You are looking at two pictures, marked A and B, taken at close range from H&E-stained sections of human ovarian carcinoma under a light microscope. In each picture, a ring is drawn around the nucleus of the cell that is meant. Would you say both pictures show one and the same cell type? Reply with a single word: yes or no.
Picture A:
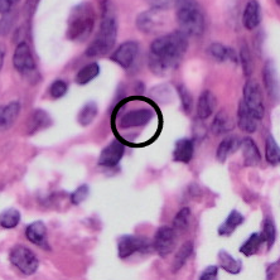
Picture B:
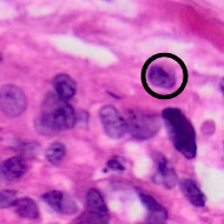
no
